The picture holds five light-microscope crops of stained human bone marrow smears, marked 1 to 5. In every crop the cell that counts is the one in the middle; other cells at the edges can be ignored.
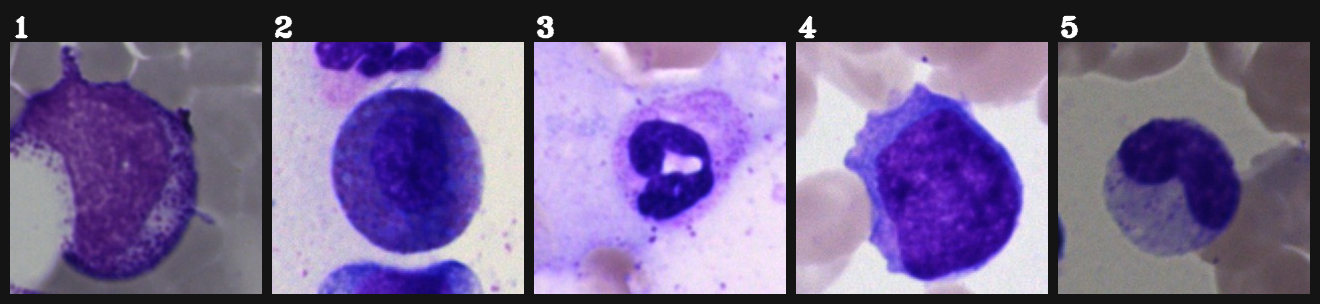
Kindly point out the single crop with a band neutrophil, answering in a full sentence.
Selected crop: 5, which is the one that shows a band neutrophil.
